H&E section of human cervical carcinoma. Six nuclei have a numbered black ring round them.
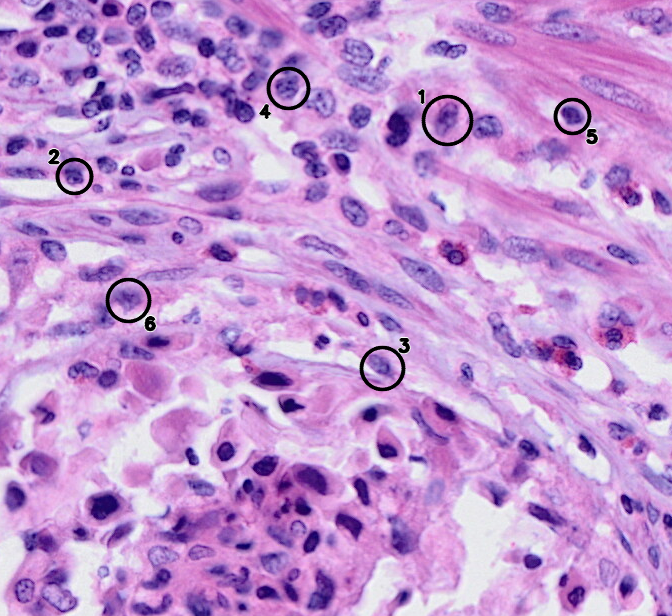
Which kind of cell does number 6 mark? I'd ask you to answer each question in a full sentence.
In the tissue shown, cell 6 is a macrophage or monocyte.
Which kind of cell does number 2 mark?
In this section, the cell tagged 2 is a lymphocyte.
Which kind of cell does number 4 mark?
In the marked set, the cell given number 4 is a lymphocyte.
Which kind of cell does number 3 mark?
Within this field of view, the cell labelled 3 is a macrophage or monocyte.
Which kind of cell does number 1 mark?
Classified as a macrophage or monocyte is the cell with the number 1.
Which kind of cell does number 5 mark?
The marked cell bearing number 5 is a lymphocyte.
